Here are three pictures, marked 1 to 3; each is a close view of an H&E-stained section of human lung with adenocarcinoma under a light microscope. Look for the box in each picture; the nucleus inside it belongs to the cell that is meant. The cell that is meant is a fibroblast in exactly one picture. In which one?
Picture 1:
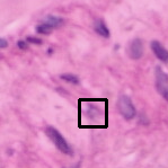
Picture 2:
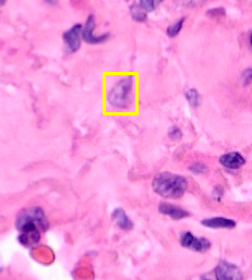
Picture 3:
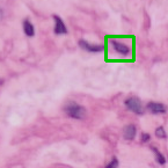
2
